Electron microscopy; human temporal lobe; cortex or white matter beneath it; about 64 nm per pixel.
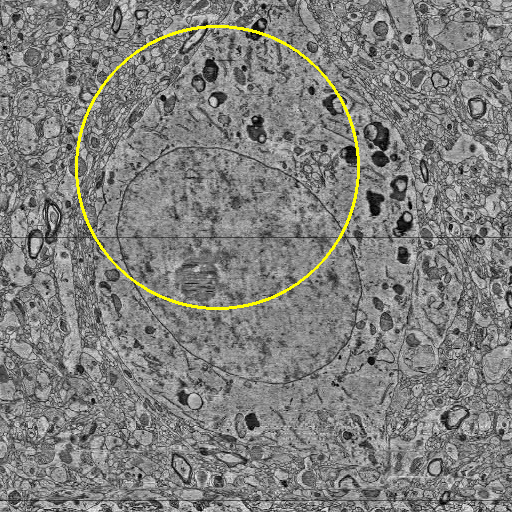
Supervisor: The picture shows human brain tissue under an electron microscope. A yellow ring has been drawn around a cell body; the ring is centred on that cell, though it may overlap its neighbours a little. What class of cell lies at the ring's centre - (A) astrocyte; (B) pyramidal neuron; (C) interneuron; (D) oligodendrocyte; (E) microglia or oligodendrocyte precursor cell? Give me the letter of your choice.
B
